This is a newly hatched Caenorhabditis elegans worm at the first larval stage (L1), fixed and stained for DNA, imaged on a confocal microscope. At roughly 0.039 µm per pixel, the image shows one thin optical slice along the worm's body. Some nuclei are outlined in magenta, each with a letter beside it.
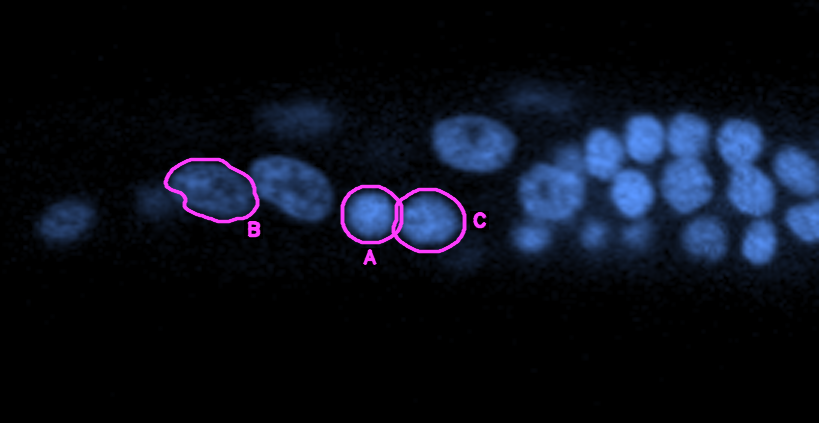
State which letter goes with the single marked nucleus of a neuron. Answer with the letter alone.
C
